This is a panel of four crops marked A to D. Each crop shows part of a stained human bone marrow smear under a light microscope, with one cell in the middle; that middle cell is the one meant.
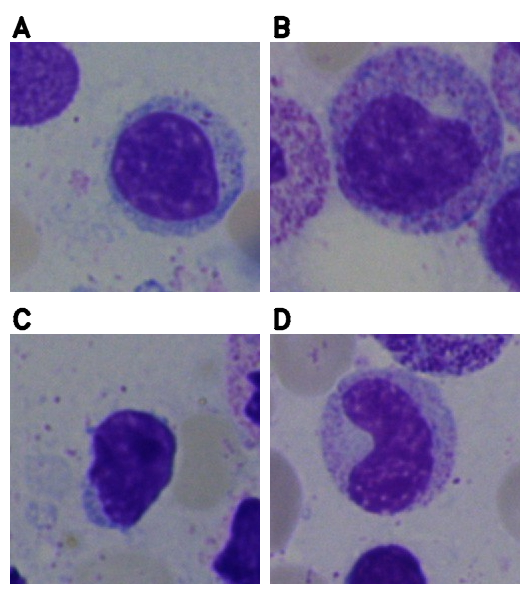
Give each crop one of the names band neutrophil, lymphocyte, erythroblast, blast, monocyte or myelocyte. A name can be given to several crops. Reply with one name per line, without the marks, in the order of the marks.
lymphocyte
myelocyte
lymphocyte
band neutrophil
